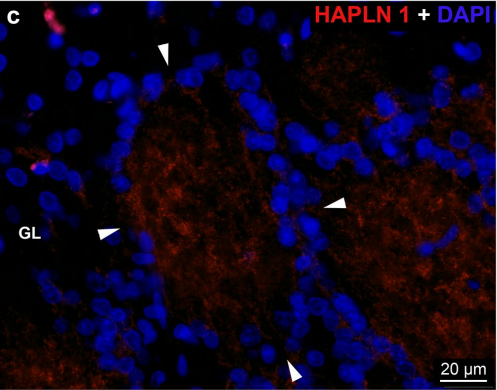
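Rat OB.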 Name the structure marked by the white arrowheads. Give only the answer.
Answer: border of periglomerular area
